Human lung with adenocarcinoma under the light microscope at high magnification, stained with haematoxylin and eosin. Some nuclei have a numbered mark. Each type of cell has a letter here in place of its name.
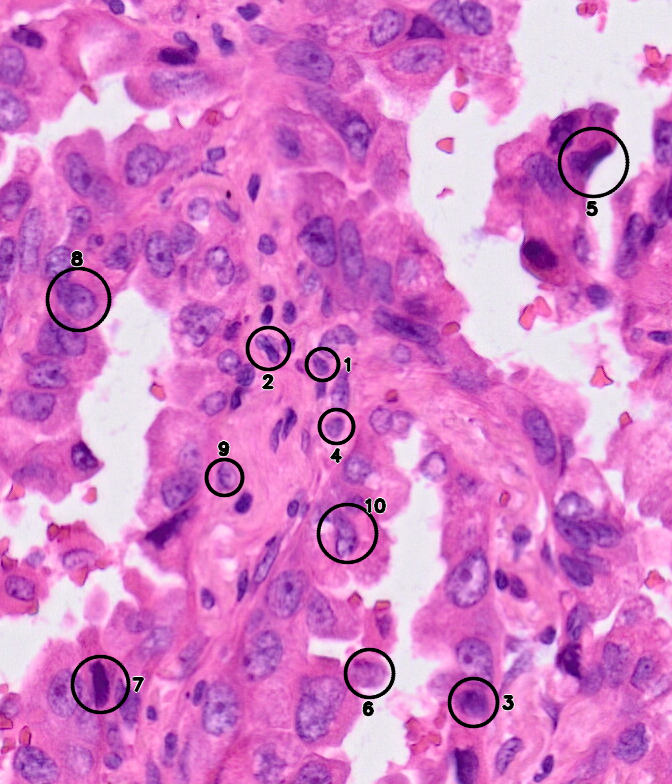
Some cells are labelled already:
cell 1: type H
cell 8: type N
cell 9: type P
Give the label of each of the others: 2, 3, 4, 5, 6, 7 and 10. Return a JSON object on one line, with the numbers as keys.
{"2": "type H", "3": "type N", "4": "type H", "5": "type N", "6": "type N", "7": "type N", "10": "type N"}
